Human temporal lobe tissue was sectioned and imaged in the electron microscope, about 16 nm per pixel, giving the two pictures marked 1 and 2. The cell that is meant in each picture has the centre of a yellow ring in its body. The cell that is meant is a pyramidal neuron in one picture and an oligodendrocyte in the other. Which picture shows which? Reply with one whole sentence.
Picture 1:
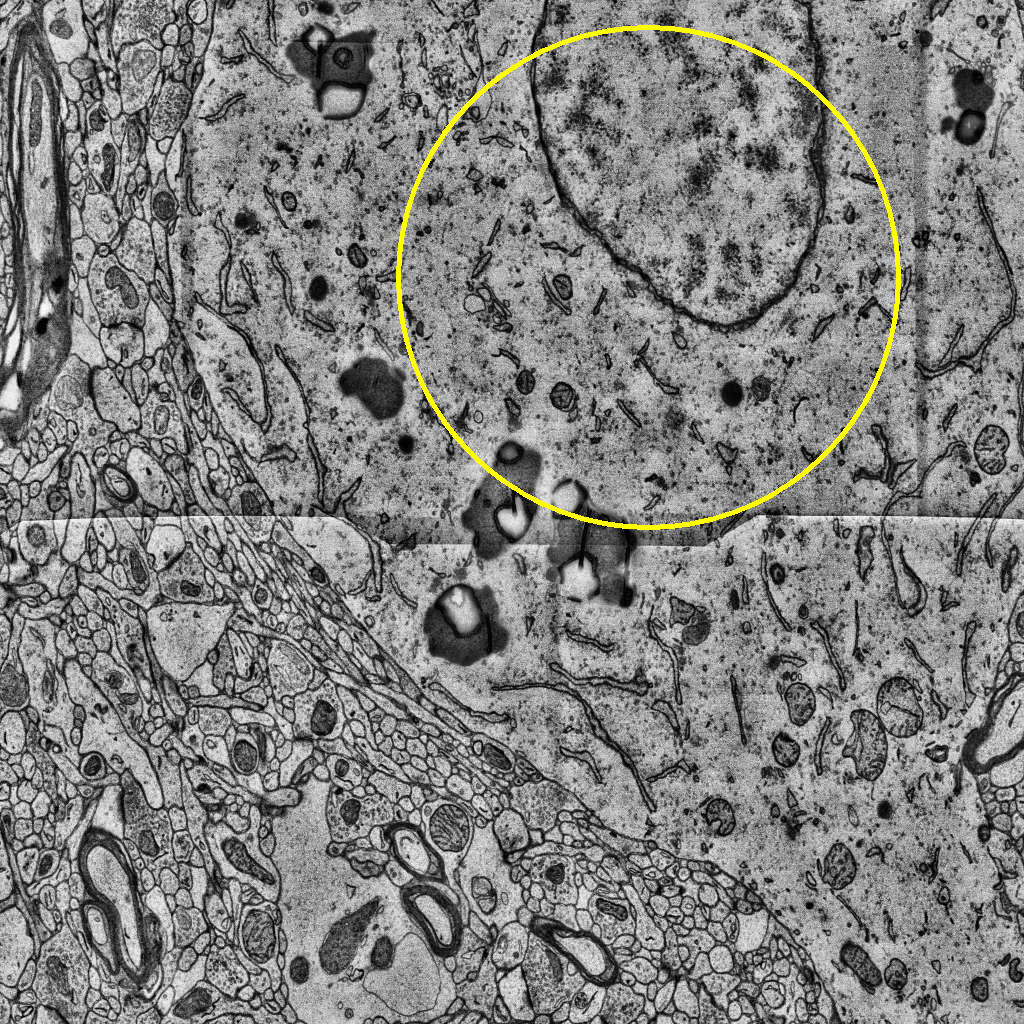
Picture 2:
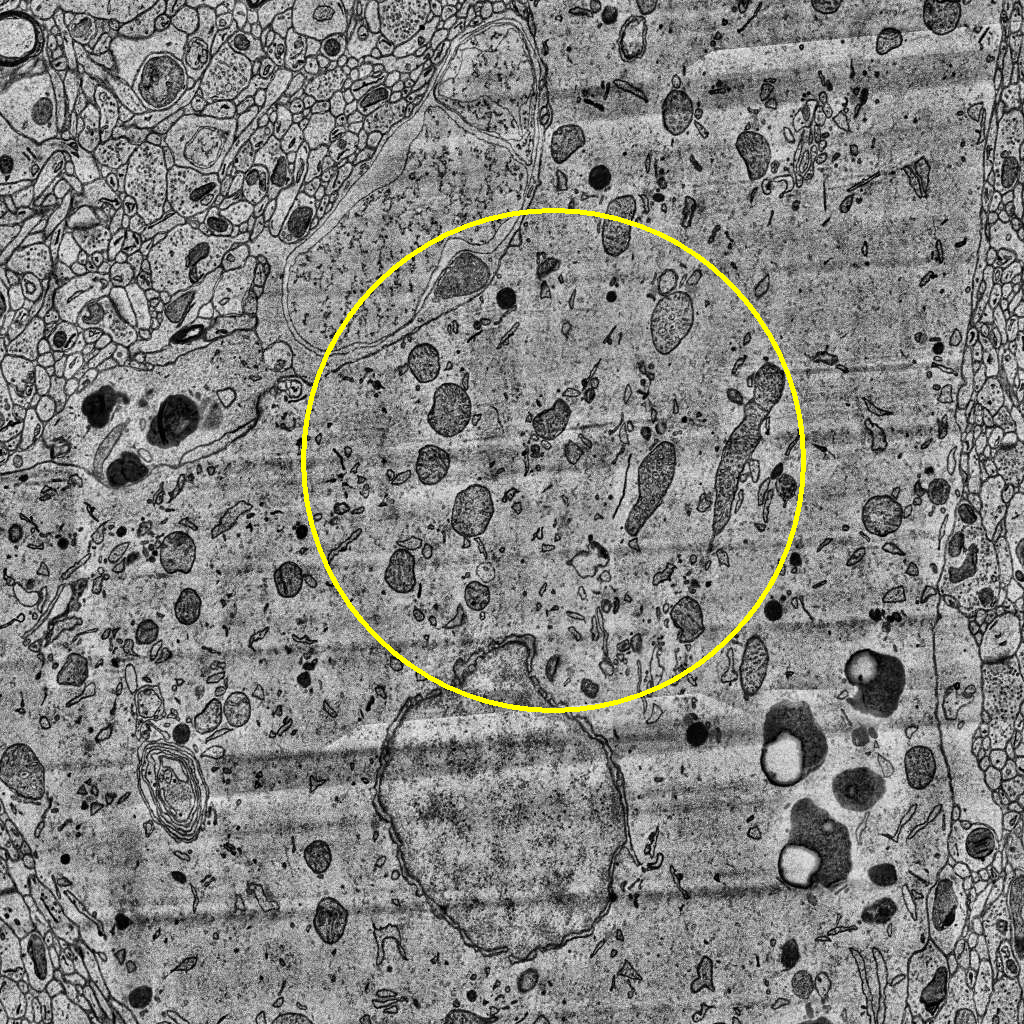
In picture 1 the cell is a pyramidal neuron; in picture 2, an oligodendrocyte.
